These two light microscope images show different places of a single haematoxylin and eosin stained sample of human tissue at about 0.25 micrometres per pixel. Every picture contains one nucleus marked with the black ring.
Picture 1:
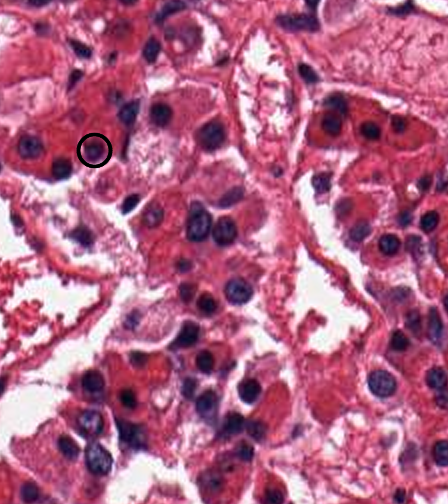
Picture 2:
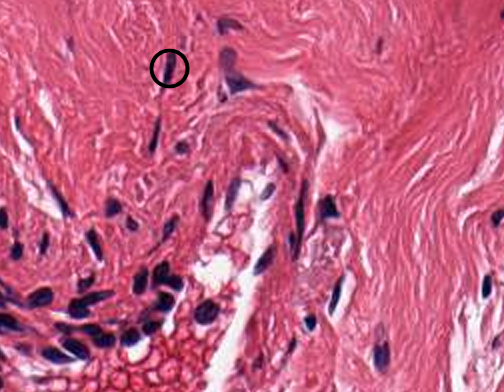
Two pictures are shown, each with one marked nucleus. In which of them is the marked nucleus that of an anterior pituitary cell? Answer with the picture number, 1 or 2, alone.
1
